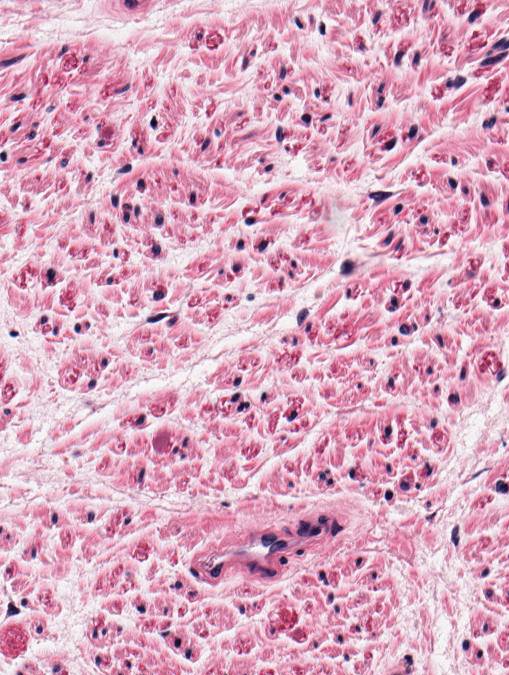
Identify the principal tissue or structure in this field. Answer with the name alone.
nerve fascicle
